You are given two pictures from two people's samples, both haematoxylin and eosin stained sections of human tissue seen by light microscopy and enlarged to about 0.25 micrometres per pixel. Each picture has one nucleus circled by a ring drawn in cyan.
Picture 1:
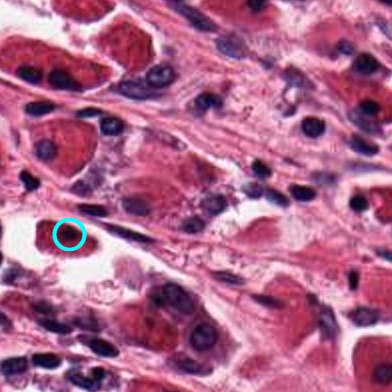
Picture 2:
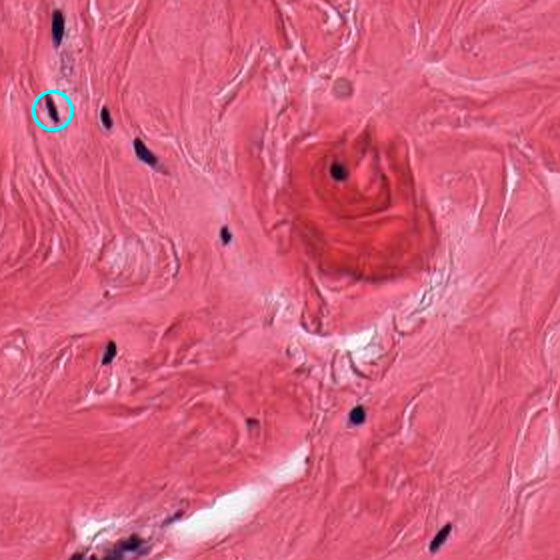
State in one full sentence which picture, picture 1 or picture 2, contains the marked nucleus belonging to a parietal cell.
Within picture 1, the marked nucleus is the nucleus of a parietal cell.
